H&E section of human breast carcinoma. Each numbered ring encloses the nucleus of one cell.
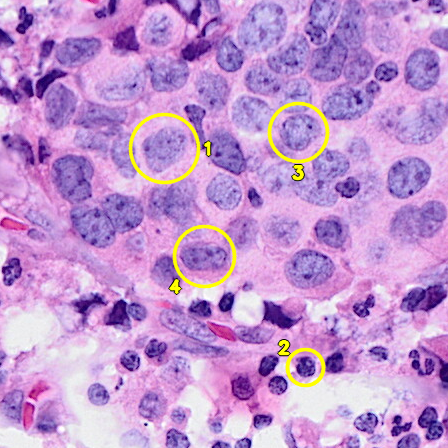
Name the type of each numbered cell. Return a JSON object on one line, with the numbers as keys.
{"1": "carcinoma cell", "2": "lymphocyte", "3": "carcinoma cell", "4": "carcinoma cell"}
